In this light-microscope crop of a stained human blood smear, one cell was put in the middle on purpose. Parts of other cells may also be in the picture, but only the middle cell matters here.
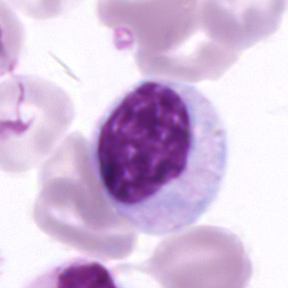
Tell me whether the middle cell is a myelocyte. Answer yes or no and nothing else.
no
